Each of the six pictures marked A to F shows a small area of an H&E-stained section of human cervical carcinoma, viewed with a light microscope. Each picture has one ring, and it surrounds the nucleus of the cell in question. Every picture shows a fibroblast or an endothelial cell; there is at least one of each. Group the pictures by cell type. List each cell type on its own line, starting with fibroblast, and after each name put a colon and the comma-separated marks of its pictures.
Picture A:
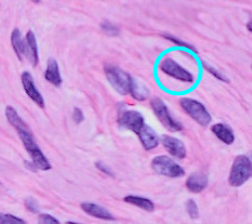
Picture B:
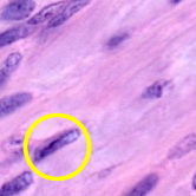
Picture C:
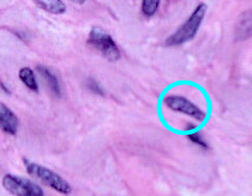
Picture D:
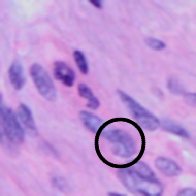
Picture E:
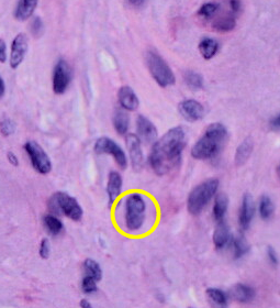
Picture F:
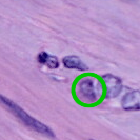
fibroblast: A, B, C, E
endothelial cell: D, F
